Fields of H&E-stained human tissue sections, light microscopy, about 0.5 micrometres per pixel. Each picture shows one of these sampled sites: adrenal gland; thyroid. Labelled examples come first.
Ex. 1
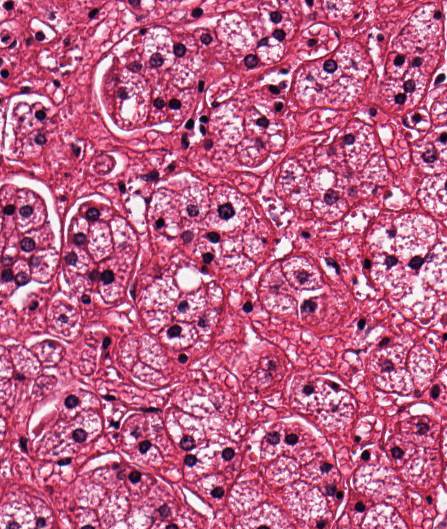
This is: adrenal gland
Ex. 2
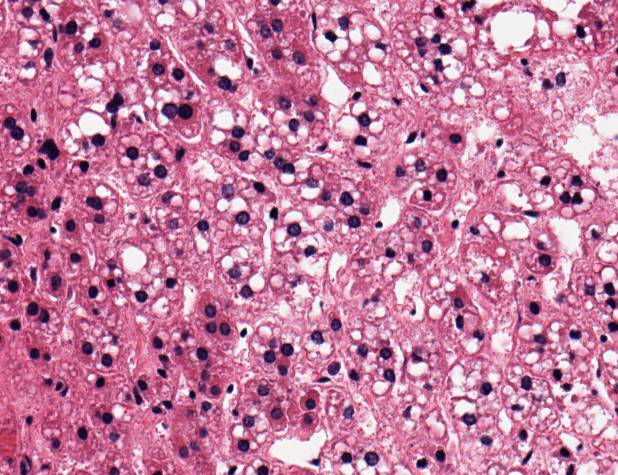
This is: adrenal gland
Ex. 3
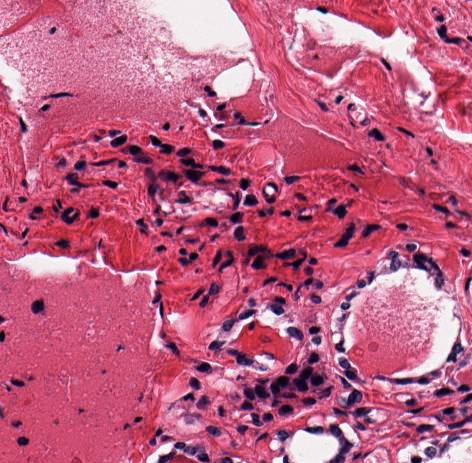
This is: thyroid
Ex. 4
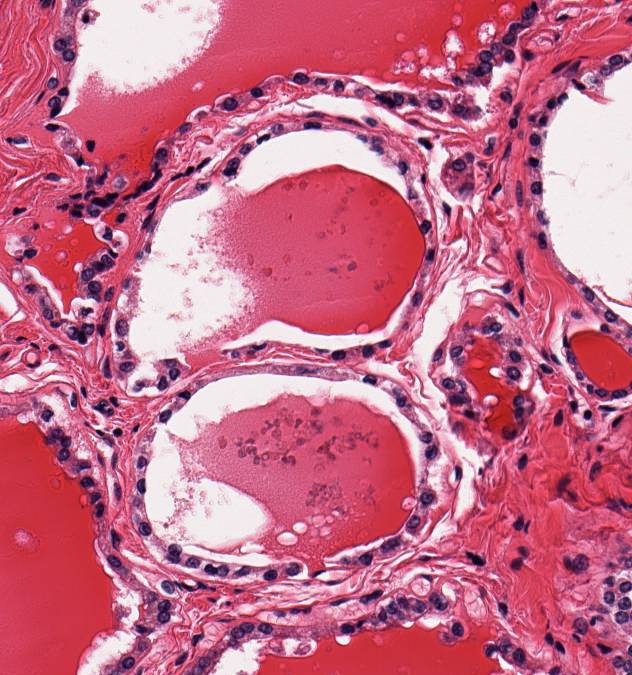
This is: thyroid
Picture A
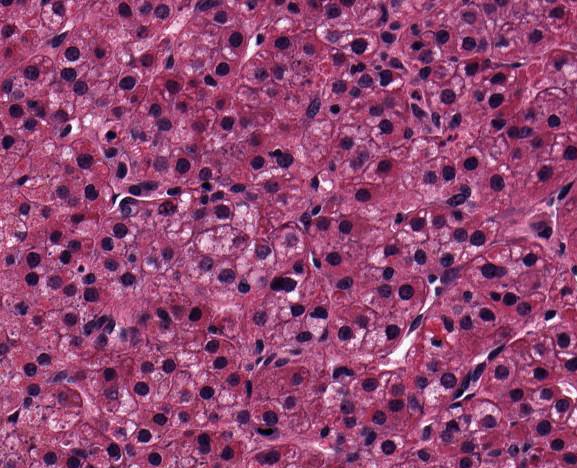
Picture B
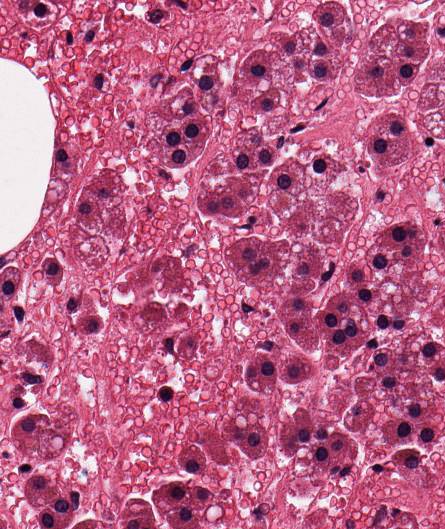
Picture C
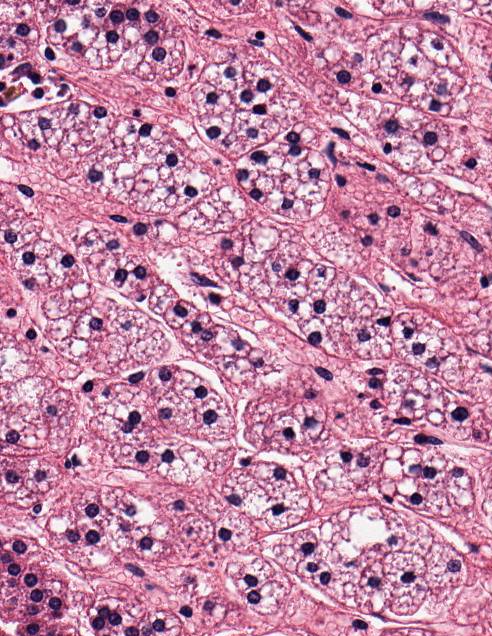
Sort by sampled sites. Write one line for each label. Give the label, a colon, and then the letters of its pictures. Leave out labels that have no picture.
adrenal gland: A, B, C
